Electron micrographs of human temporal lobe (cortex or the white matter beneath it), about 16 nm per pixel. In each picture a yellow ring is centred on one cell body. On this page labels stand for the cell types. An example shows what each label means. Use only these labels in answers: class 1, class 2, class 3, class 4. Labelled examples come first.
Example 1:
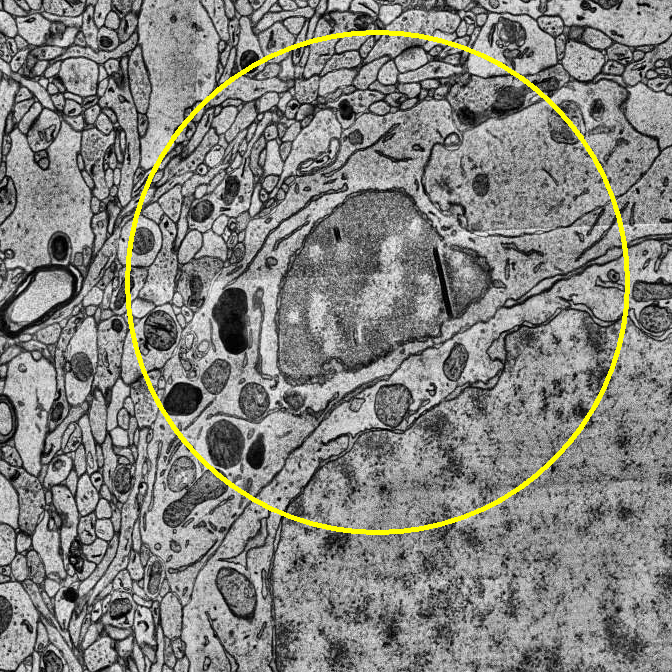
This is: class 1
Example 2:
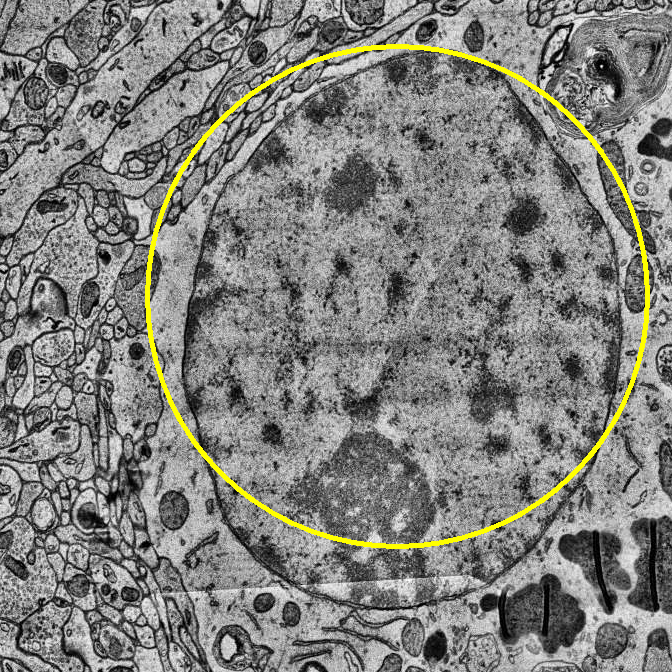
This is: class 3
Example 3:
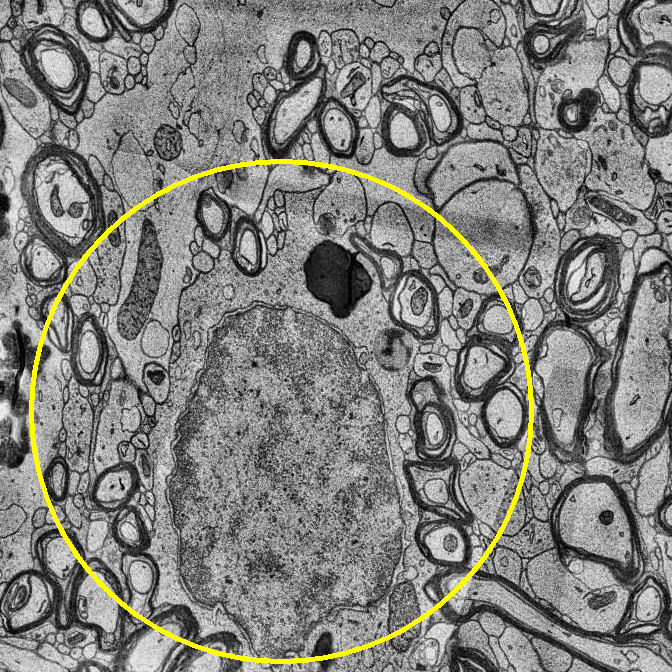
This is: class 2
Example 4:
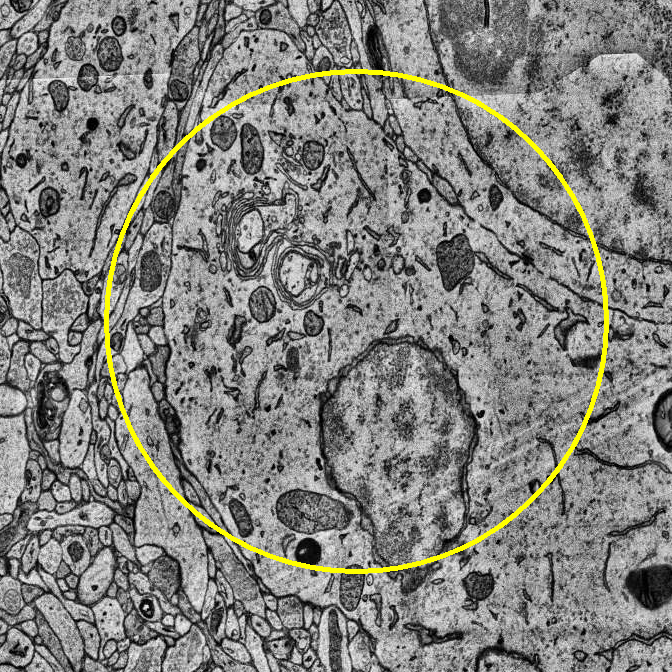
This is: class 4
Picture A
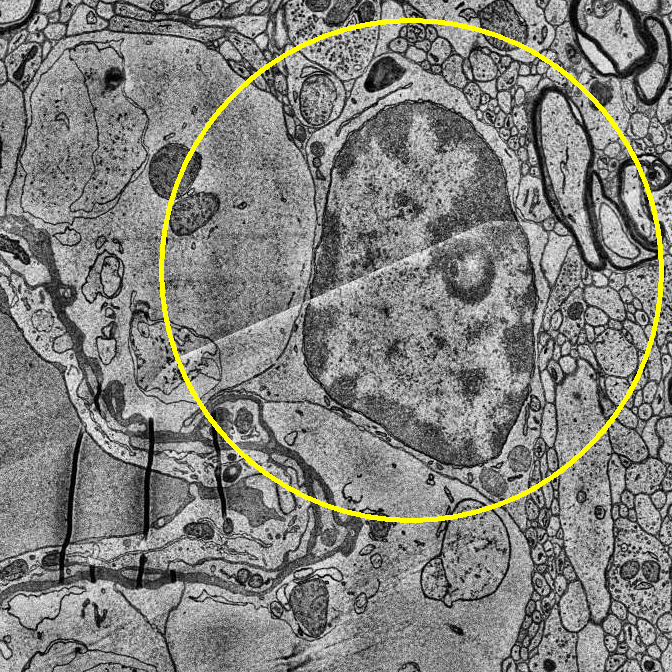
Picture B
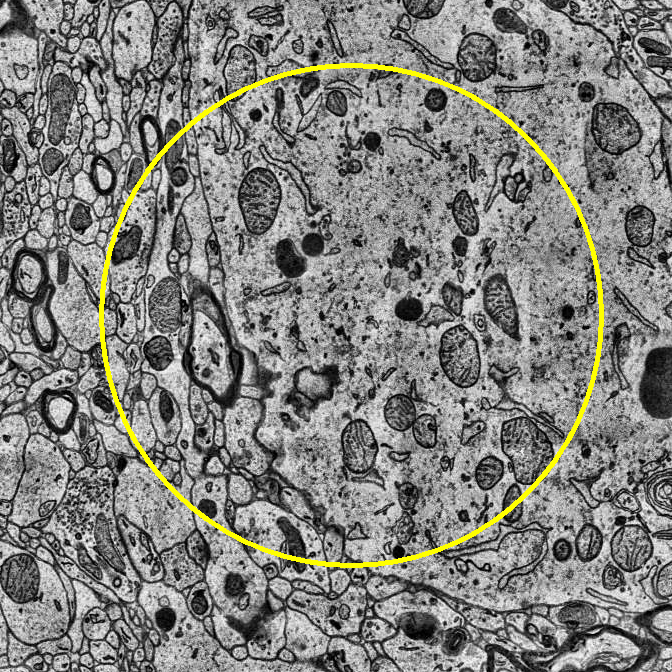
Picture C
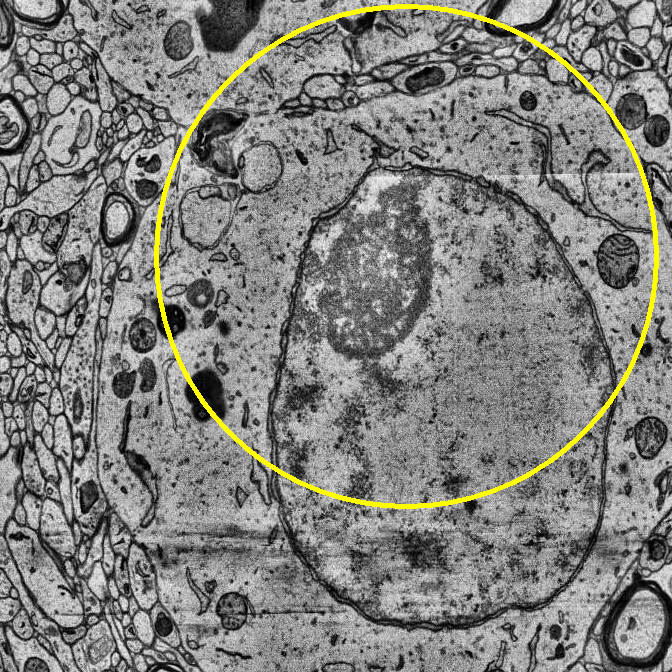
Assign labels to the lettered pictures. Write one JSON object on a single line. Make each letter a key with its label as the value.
{"A": "class 1", "B": "class 1", "C": "class 4"}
